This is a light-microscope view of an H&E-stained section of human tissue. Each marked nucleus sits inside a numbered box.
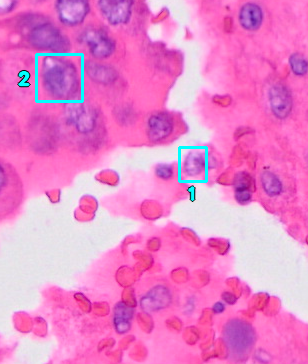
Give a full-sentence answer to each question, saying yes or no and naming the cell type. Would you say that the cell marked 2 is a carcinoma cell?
Yes, the cell carrying label 2 is a carcinoma cell.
